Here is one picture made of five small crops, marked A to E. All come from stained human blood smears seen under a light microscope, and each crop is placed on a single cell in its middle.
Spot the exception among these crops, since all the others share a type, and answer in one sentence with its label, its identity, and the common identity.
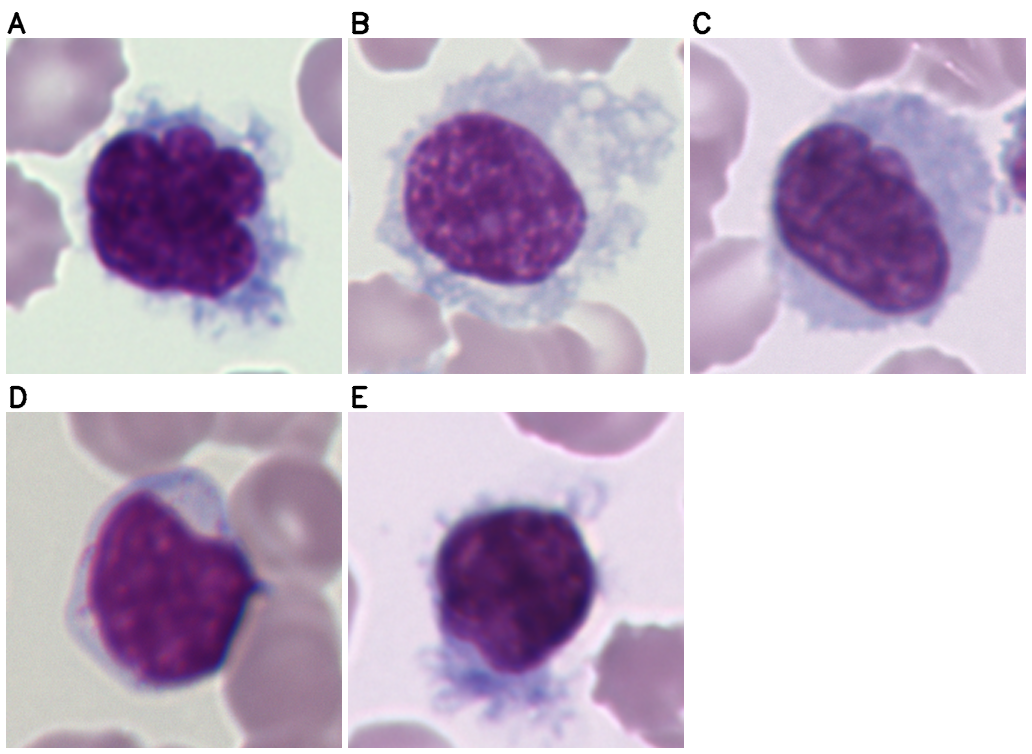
The crop that differs is crop D, showing a large granular lymphocyte; the others show hairy cells.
